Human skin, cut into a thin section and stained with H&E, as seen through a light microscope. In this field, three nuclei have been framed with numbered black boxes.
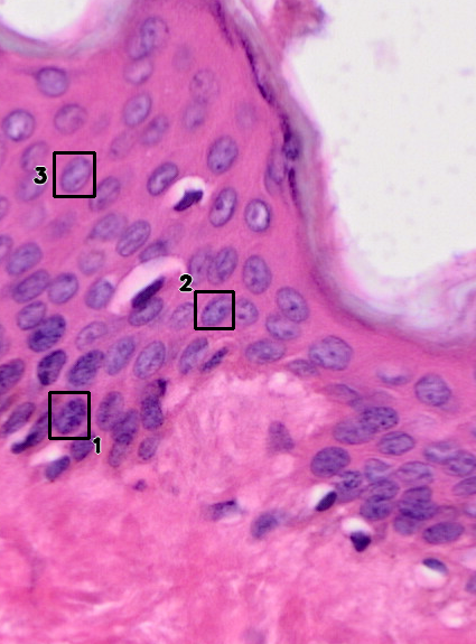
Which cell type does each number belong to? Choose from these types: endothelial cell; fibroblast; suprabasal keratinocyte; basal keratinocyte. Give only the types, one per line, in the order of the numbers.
basal keratinocyte
suprabasal keratinocyte
suprabasal keratinocyte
